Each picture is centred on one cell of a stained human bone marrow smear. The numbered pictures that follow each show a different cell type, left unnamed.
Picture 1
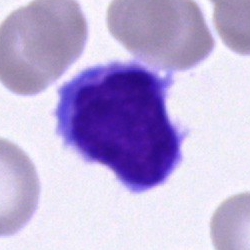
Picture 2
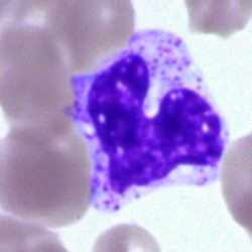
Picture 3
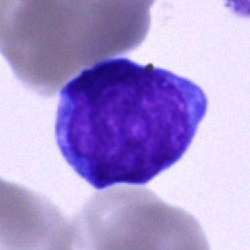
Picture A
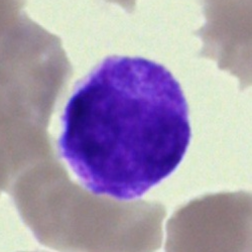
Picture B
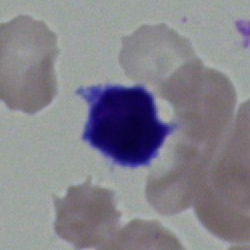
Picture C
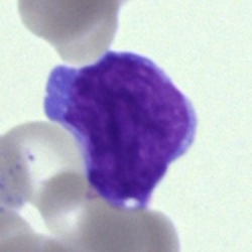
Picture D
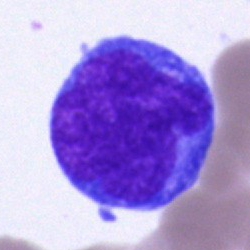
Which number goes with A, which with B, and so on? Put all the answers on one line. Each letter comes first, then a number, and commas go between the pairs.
A 3, B 1, C 3, D 3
